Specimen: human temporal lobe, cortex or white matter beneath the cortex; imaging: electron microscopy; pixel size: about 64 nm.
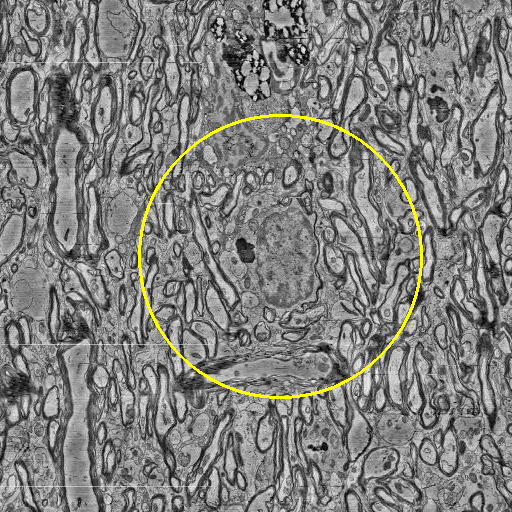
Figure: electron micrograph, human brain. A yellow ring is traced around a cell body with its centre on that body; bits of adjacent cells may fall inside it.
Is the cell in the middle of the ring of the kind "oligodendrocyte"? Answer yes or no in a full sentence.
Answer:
Yes, that kind applies to the cell centred within the yellow ring of the picture.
